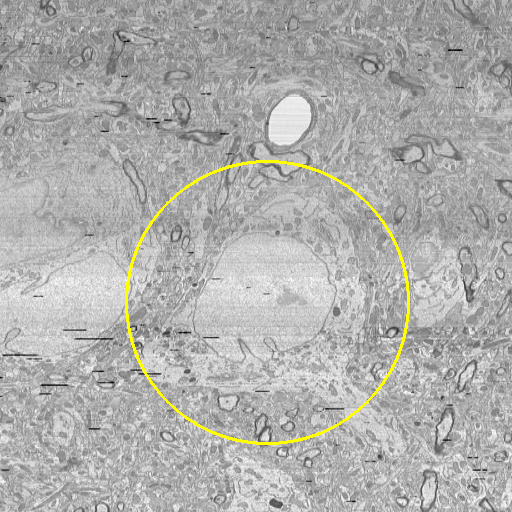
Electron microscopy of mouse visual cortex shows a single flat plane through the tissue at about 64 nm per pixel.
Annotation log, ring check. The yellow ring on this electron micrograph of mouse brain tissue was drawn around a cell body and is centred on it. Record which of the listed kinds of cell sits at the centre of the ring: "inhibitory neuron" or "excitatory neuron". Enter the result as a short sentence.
The cell at the centre of the ring is an excitatory neuron.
